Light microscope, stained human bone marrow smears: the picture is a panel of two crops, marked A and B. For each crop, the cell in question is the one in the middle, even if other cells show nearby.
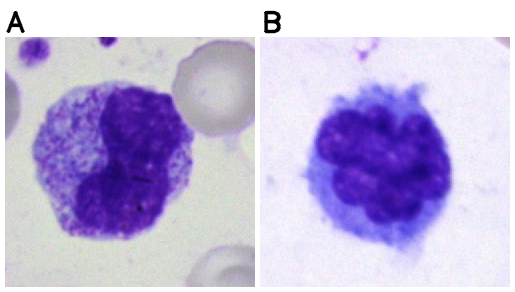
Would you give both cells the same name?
no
